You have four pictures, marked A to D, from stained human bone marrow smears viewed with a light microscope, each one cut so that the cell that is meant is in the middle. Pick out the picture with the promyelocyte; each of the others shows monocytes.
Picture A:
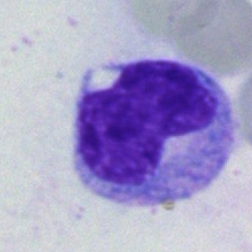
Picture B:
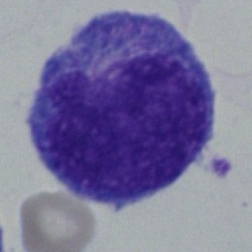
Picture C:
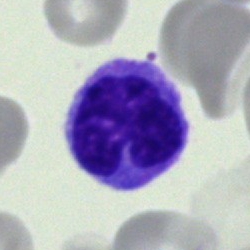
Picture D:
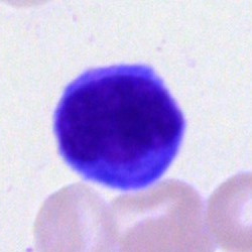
B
